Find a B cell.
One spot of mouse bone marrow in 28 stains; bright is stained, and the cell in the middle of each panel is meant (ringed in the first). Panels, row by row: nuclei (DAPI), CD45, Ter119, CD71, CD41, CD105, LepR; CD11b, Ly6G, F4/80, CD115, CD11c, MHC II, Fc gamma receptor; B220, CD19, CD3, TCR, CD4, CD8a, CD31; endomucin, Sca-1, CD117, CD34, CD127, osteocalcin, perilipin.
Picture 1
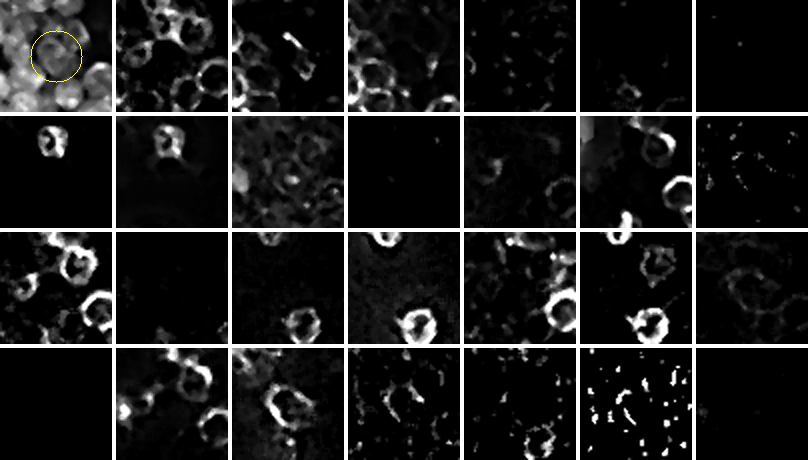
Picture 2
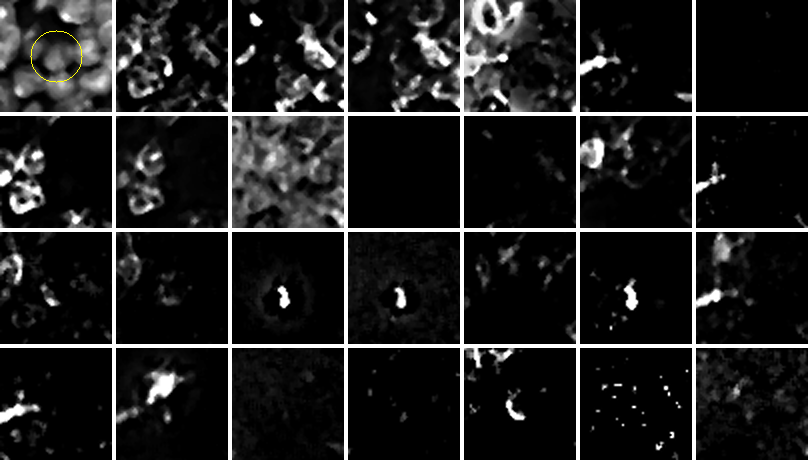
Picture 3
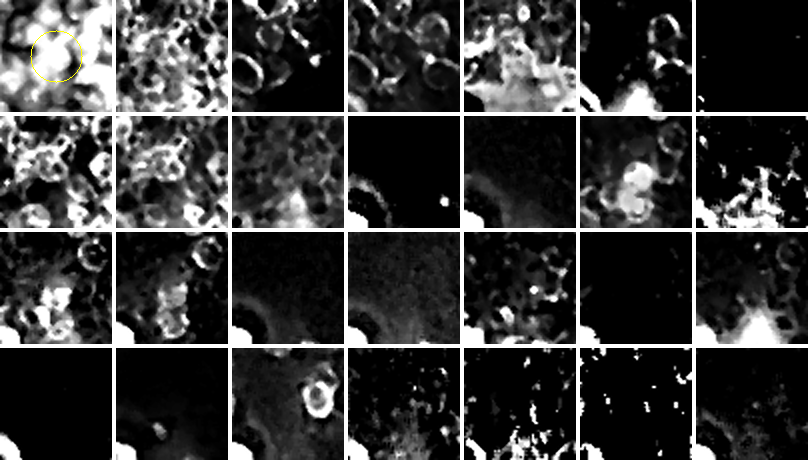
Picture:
3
